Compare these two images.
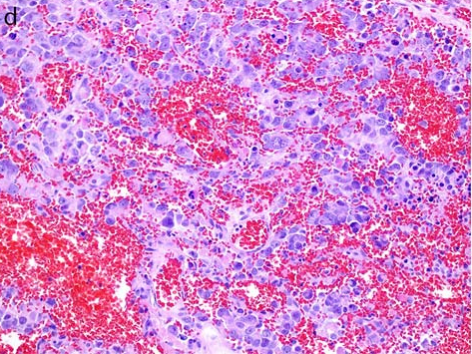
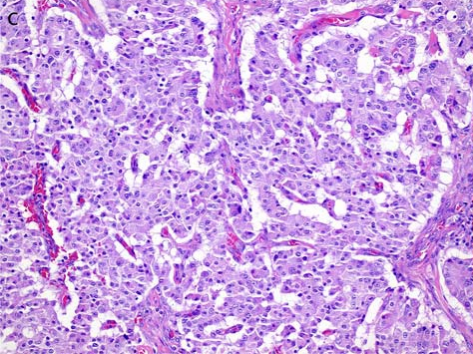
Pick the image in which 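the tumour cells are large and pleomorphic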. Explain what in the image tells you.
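First image: large cells with enlarged nuclei of widely varying size and shape. Second image: cells with small round nuclei of fairly uniform size. That points to this answer: the first image.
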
